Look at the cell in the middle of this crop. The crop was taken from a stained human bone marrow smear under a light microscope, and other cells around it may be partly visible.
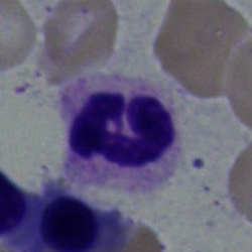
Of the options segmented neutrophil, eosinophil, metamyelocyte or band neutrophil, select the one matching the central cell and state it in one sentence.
The centered cell in this crop is a segmented neutrophil.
